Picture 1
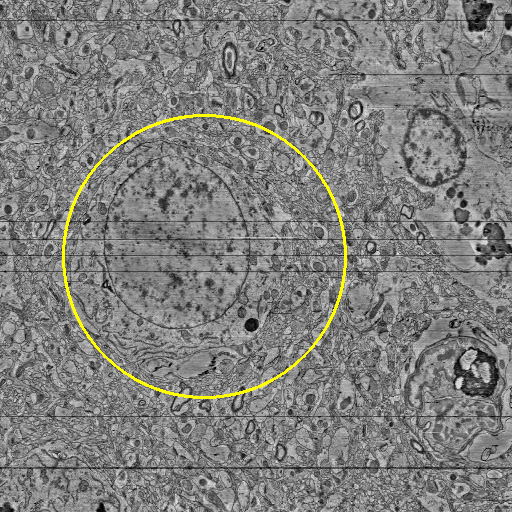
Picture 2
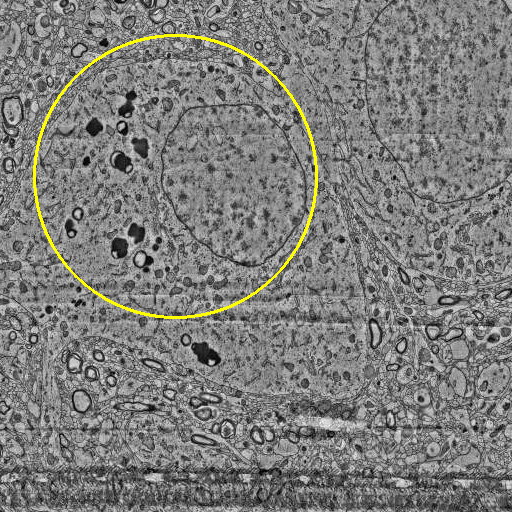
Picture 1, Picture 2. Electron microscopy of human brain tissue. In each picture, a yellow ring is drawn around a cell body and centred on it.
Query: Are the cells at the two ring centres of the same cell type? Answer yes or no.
yes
